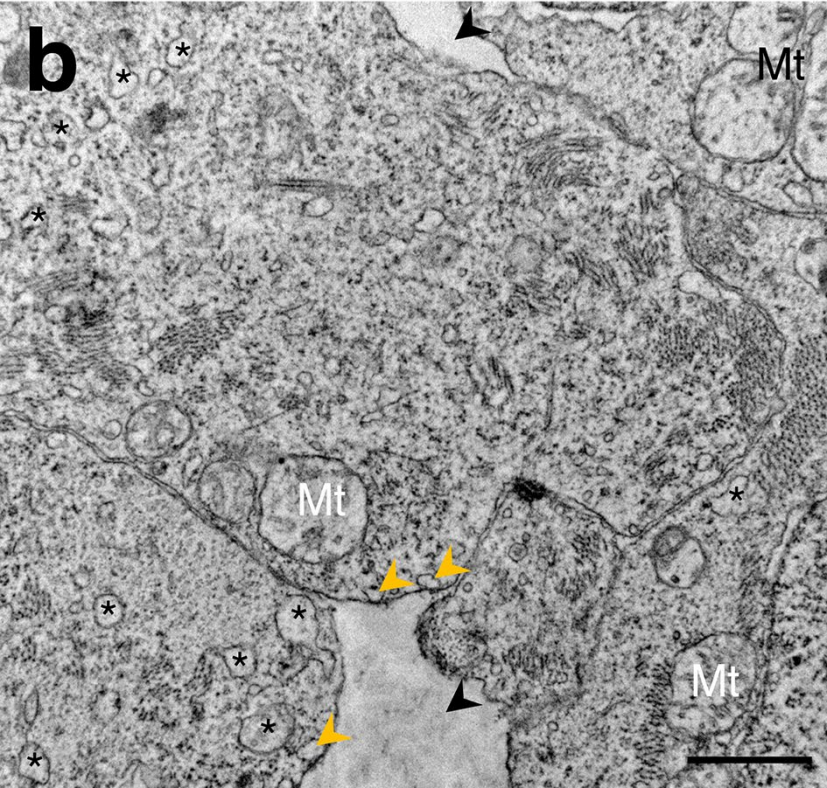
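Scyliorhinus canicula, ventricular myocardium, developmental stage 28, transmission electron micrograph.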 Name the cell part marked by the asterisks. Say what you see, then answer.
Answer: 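The asterisks mark small, round, membrane-bound profiles in the cytoplasm. The profiles have pale contents.
Hence: vesicles.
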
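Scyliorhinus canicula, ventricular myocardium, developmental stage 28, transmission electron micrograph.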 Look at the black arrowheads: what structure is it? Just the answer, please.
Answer: extracellular spaces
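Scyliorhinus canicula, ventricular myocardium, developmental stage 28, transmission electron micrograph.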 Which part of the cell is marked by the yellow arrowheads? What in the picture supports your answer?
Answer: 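Vesicles. The yellow arrowheads point to small round profiles. These profiles touch the membrane bordering the pale space.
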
